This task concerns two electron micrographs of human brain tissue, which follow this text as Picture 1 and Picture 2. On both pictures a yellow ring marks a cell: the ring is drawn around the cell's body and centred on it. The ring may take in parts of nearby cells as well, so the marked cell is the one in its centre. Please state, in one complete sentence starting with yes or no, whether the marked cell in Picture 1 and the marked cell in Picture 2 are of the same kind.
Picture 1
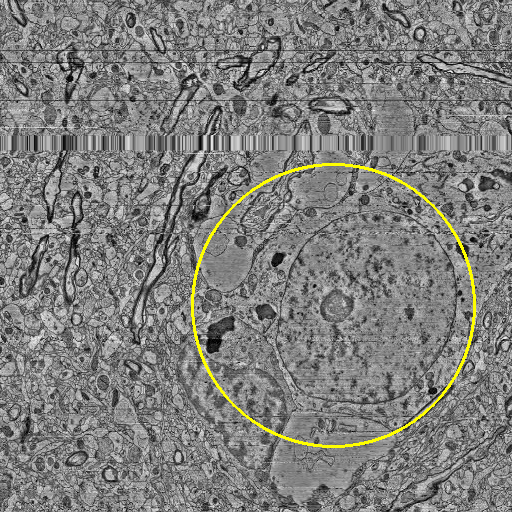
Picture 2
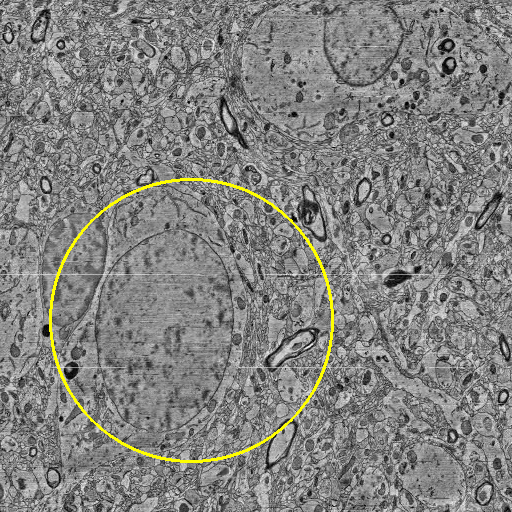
Yes, the marked cells in both pictures are of the same kind.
